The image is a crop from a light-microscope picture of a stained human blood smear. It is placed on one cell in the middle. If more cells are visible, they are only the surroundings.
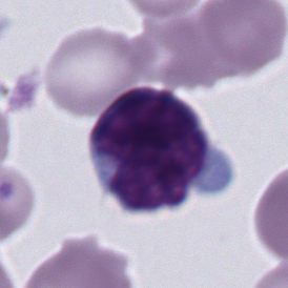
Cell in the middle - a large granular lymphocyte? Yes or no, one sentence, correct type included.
No, the cell in the centre is to be called a typical lymphocyte instead of a large granular lymphocyte.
